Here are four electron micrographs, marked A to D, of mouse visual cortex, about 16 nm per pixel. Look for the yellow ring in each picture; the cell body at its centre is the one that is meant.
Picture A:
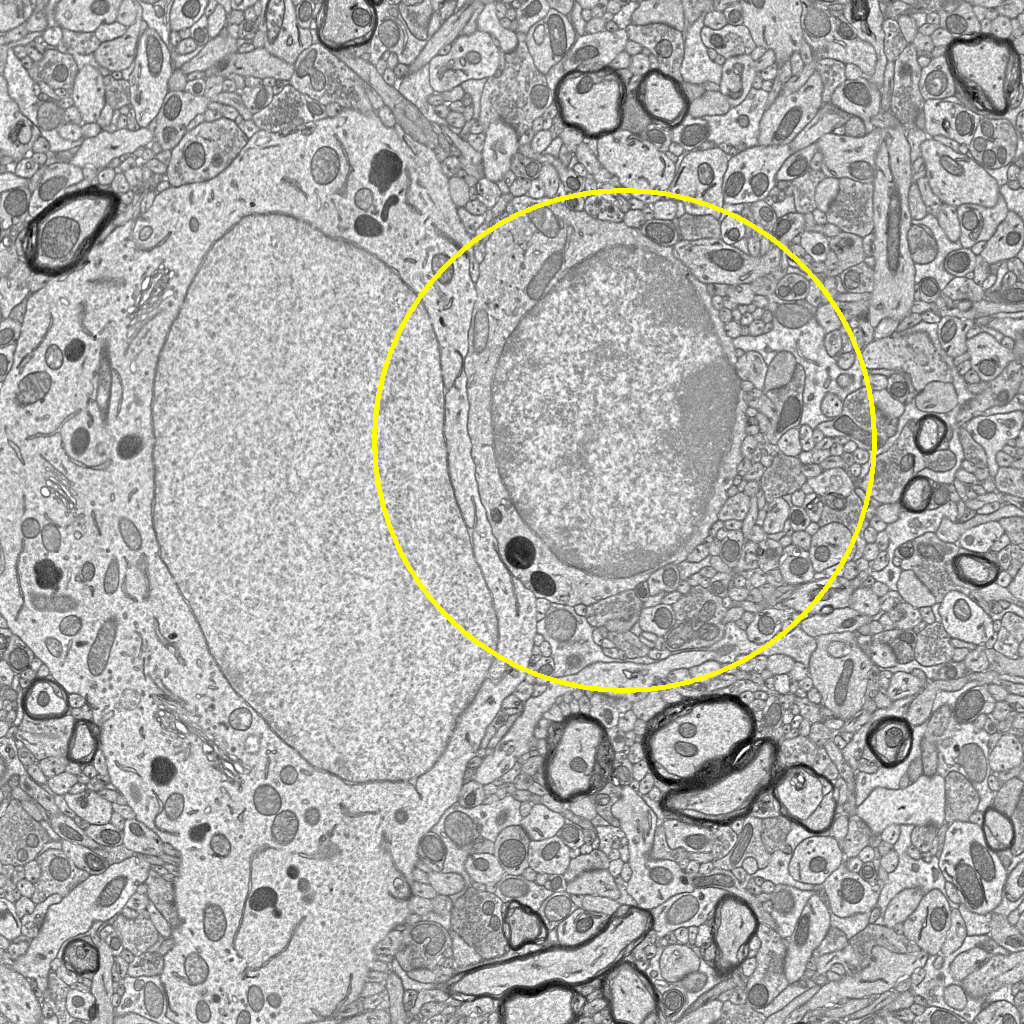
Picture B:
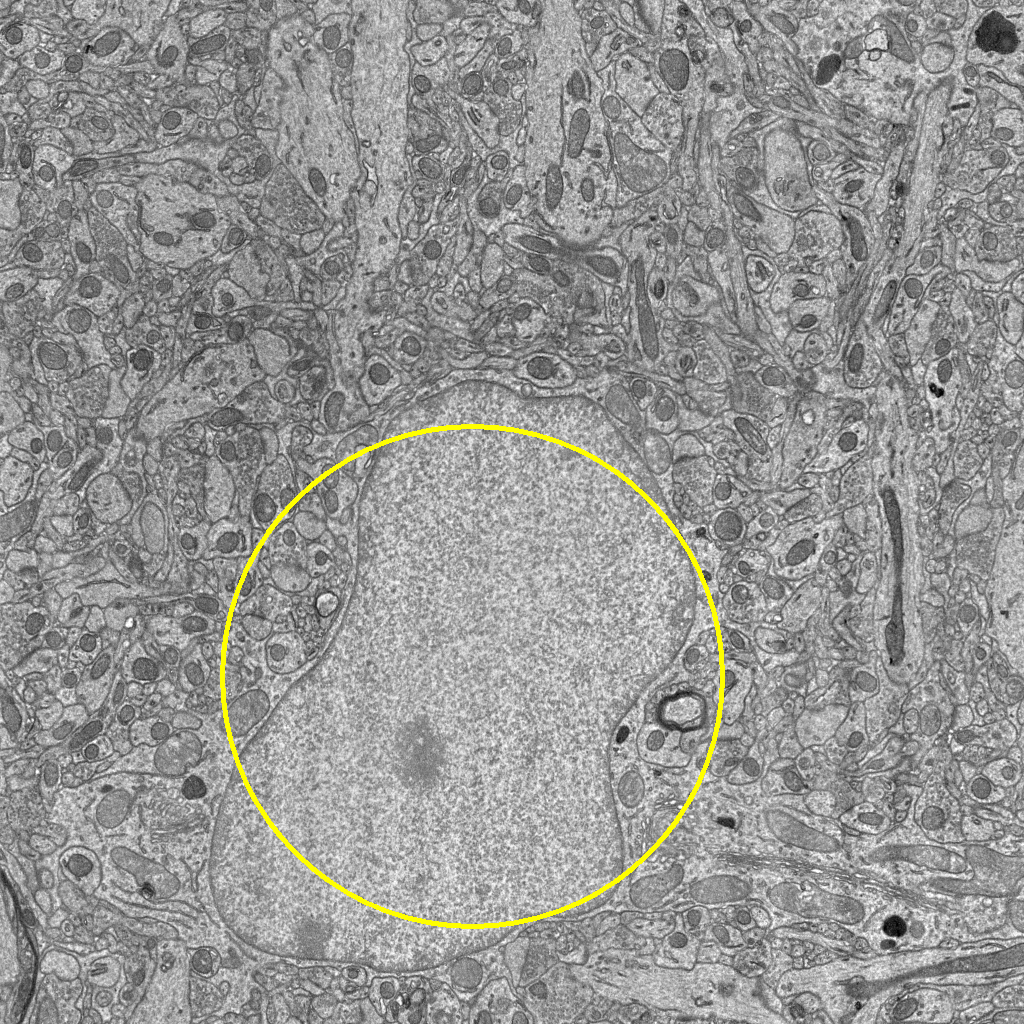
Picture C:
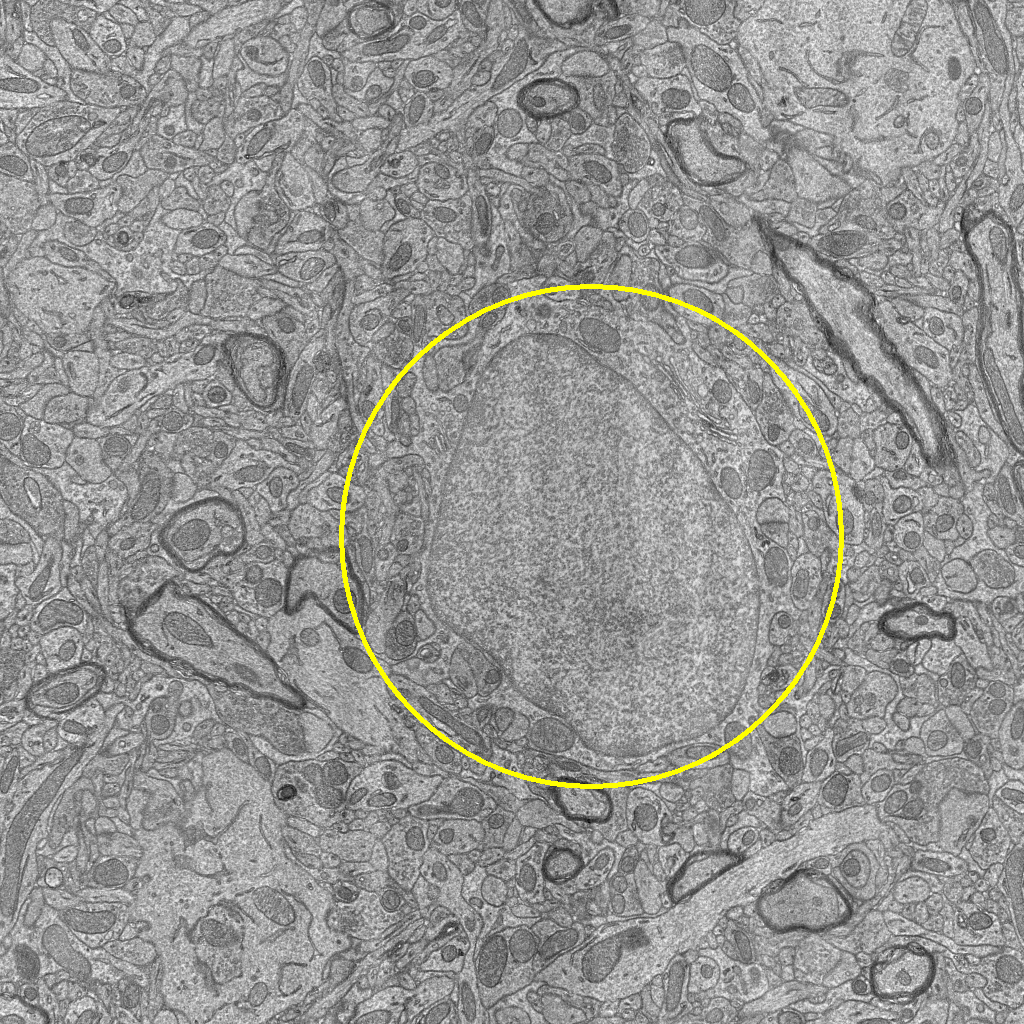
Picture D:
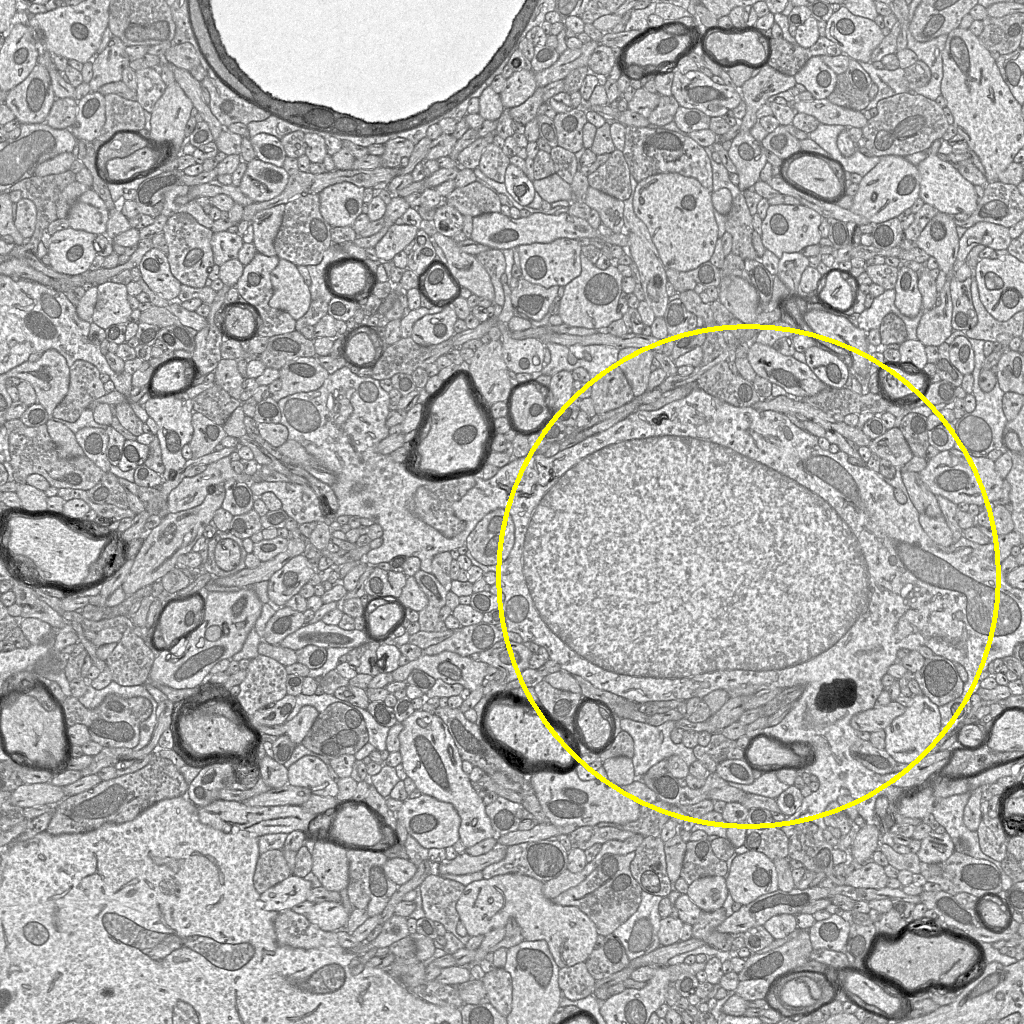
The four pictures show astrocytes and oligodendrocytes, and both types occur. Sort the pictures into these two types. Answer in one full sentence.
Pictures B, C and D show astrocytes, and picture A shows an oligodendrocyte.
